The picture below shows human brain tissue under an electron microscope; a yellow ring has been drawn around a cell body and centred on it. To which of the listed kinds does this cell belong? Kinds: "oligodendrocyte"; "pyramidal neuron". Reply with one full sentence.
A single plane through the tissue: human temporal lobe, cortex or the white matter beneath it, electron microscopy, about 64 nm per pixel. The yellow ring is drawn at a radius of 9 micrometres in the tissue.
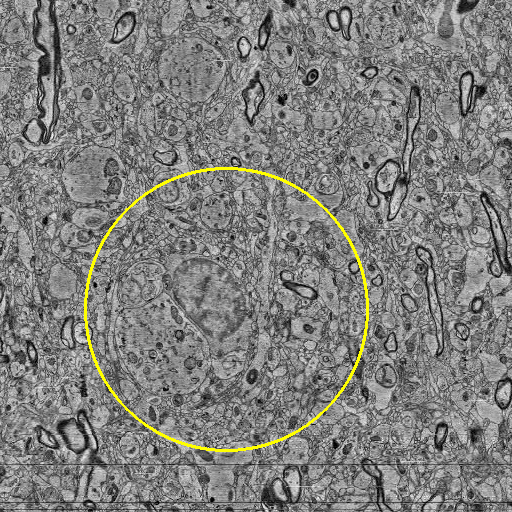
It is an oligodendrocyte that the yellow ring in the picture is centred on.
